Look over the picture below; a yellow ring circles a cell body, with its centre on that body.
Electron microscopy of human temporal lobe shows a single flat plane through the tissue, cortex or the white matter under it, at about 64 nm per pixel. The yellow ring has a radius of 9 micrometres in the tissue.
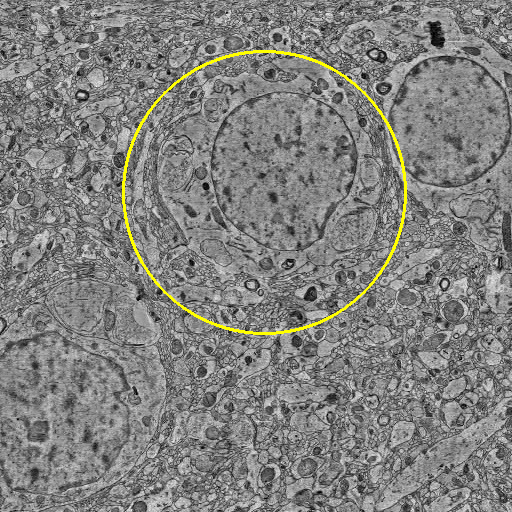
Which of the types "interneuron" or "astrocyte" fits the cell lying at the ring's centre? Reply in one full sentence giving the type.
The picture shows an astrocyte at the centre of the yellow ring.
